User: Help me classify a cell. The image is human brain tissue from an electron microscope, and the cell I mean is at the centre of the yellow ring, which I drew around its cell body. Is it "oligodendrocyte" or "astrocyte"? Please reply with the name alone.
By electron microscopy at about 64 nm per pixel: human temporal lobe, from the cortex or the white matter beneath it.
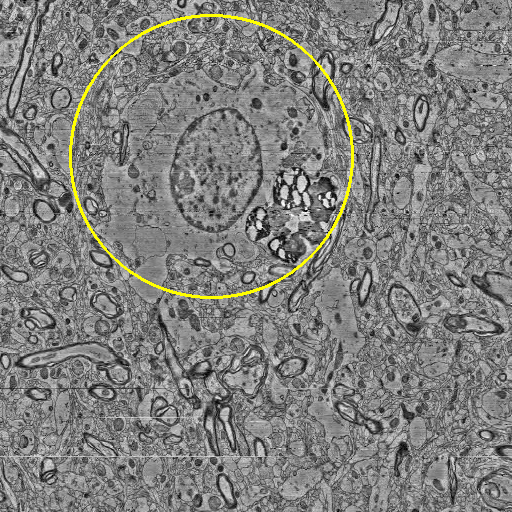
astrocyte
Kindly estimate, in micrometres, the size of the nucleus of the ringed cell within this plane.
In this plane, the nucleus is roughly 8 by 6 micrometres.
